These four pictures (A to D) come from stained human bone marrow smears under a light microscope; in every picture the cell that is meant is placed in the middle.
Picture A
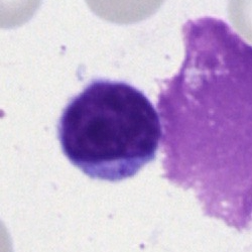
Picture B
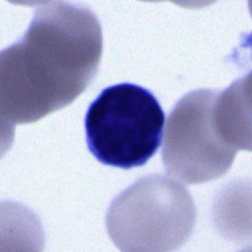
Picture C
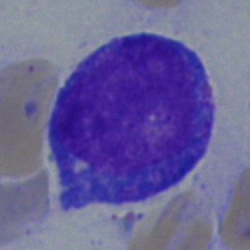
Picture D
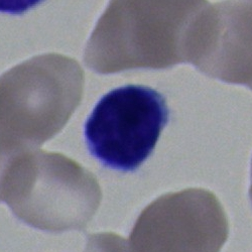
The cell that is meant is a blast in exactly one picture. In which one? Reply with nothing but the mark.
C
